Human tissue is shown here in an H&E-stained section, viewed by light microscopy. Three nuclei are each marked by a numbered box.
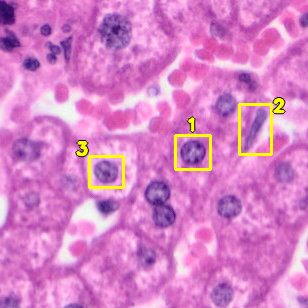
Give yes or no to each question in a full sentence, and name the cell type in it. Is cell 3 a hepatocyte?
Yes, the cell pointed out as number 3 is a hepatocyte.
